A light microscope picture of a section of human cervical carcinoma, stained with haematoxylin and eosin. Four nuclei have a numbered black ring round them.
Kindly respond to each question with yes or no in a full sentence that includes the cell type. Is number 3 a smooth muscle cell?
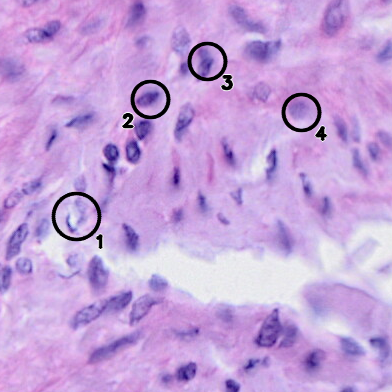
No, the cell indicated by 3 is a fibroblast instead of a smooth muscle cell.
